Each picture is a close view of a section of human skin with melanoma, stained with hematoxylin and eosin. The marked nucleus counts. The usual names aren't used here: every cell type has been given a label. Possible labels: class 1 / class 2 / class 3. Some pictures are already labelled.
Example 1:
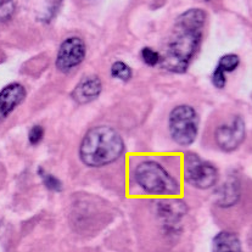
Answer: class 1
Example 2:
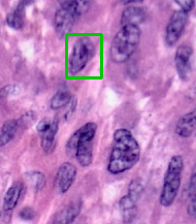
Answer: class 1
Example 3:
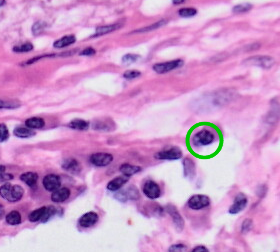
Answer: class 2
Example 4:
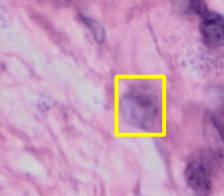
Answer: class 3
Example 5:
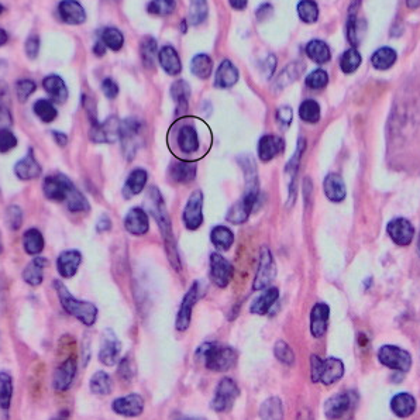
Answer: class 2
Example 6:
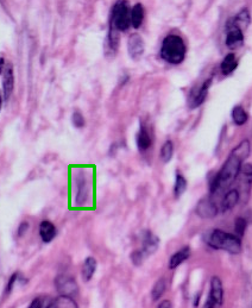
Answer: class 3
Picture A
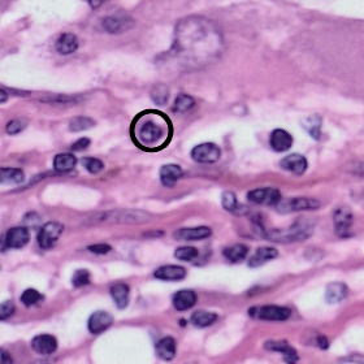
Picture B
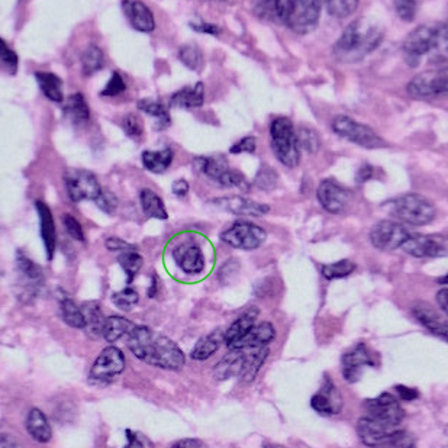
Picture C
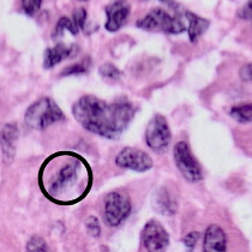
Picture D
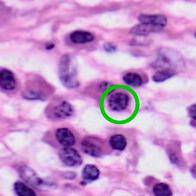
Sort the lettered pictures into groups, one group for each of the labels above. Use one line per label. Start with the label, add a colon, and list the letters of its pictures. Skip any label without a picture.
class 1: B, C
class 2: A, D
